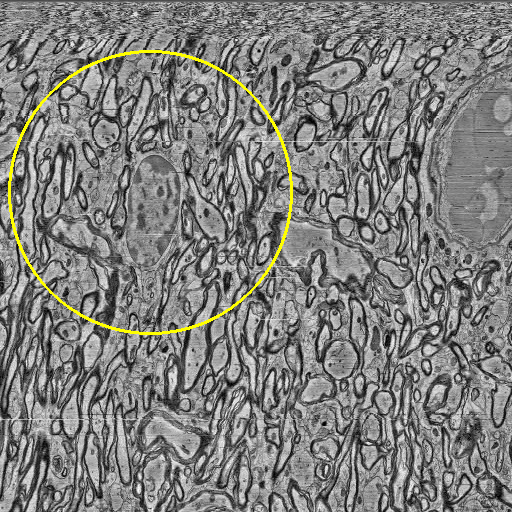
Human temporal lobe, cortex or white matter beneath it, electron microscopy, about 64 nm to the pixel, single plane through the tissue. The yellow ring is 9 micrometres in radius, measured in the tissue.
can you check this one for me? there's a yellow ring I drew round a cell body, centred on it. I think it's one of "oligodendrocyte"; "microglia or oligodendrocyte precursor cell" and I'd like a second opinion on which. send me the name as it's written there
microglia or oligodendrocyte precursor cell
